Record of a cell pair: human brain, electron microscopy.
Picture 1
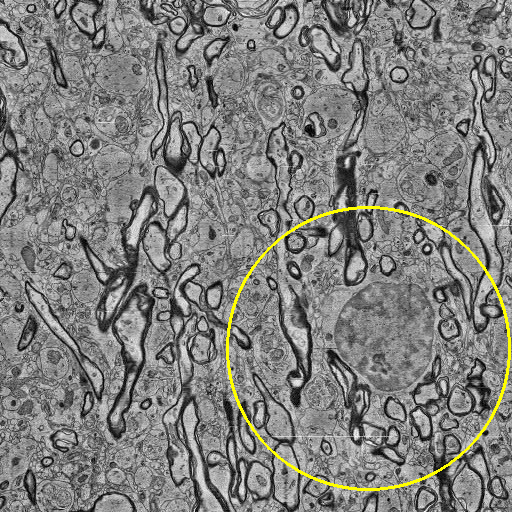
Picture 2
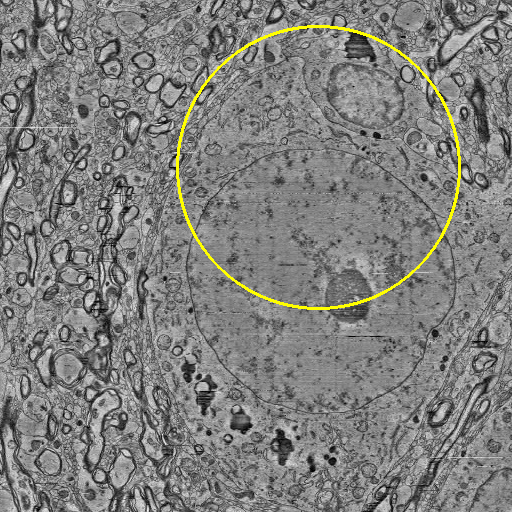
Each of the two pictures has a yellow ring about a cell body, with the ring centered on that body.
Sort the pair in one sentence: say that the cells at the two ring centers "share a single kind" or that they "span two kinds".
The cells centered in the rings of Pictures 1 and 2 span two kinds.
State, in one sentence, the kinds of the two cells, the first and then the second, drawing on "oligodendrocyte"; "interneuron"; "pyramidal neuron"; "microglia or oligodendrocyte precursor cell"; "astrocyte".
The ring in the second picture is centred on a pyramidal neuron, the ring in the first on an oligodendrocyte.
